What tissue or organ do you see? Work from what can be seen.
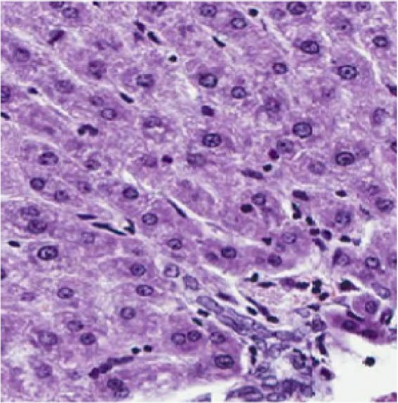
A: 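Polygonal cells with central round nuclei and prominent nucleoli fill the field. The cells lie in plates separated by narrow sinusoid-like spaces. Elongated dark nuclei lie along the spaces between the plates. So: liver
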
